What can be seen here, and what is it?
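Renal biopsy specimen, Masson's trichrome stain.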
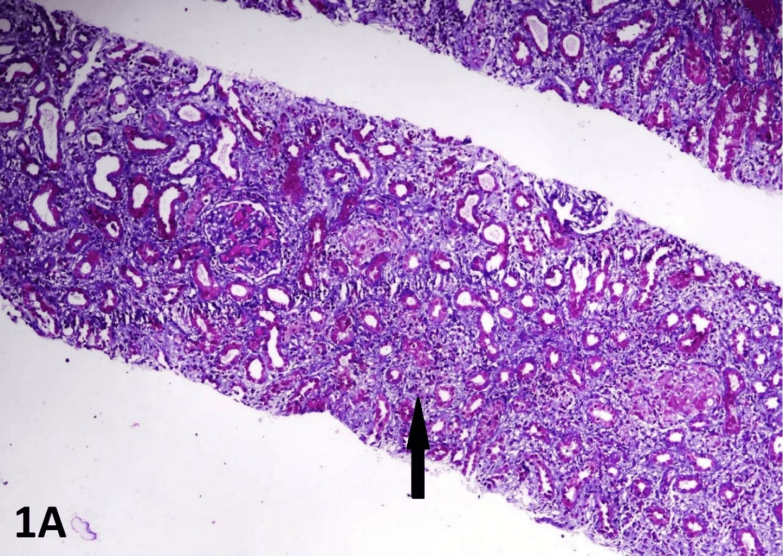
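Low-power view of a strip of kidney cortex in which tubules and interstitium dominate. A few glomeruli are scattered among the tubules, some shrunken and pale, others with more cellular tufts. Some tubules have dense, deeply stained content and epithelium.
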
